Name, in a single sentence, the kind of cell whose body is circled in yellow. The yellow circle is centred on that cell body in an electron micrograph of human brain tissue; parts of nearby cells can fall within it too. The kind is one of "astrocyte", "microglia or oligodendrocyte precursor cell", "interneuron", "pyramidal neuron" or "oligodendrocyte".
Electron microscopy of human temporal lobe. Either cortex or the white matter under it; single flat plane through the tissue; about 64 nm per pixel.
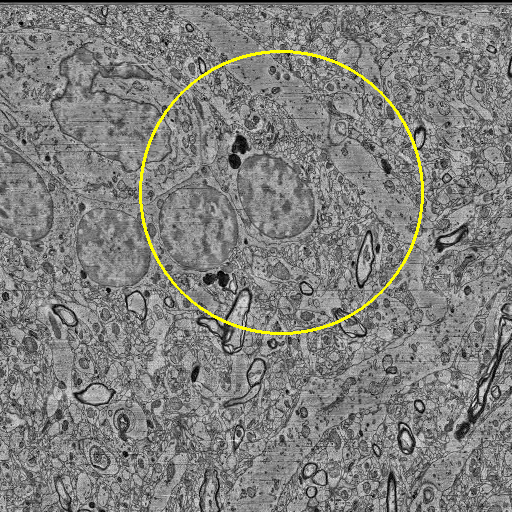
The circled cell body belongs to an oligodendrocyte.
